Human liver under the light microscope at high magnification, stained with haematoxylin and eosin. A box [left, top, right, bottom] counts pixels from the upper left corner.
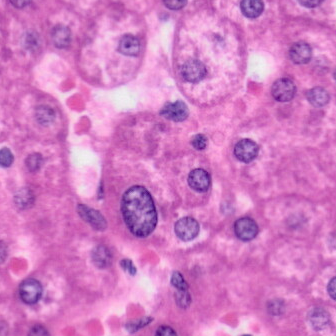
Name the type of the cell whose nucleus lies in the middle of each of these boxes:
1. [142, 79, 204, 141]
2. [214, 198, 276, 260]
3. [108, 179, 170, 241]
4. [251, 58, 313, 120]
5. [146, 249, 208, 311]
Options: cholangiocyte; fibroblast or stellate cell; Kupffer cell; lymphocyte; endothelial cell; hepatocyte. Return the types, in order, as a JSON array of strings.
["endothelial cell", "hepatocyte", "hepatocyte", "hepatocyte", "fibroblast or stellate cell"]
